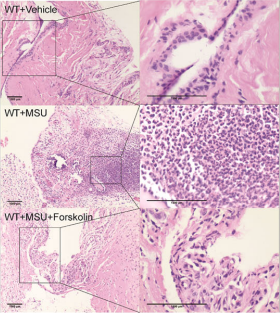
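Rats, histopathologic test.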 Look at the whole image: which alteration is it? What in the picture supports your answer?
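The middle row is packed with dense sheets of small, round, dark purple nuclei.
Inflammatory cell infiltration.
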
